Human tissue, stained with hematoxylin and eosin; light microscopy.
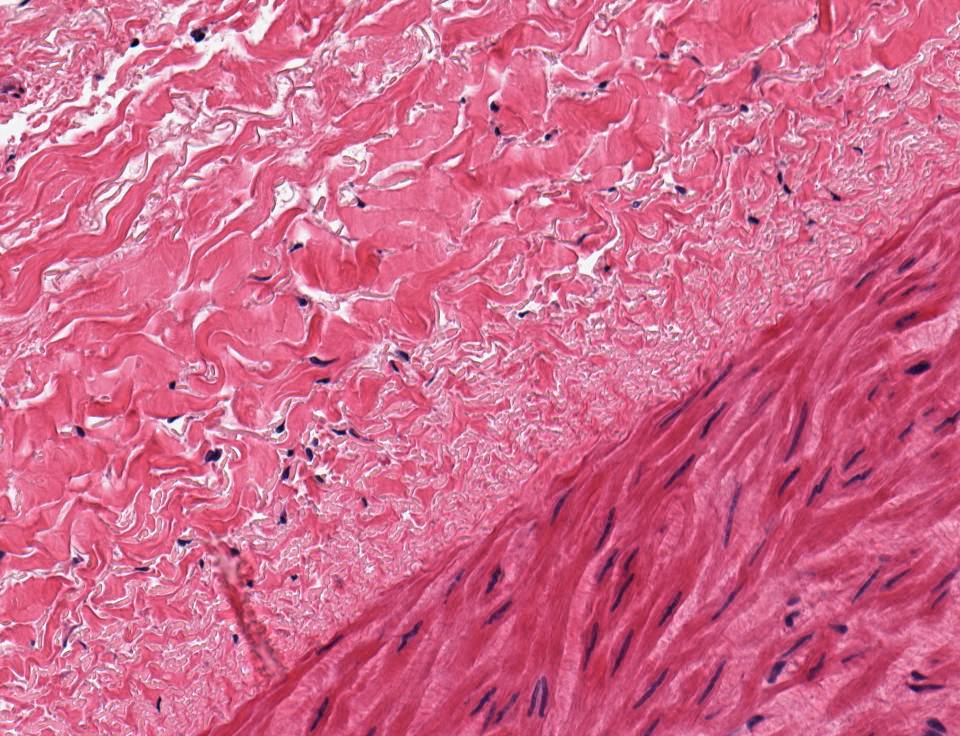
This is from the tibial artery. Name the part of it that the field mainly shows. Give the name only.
tunica adventitia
